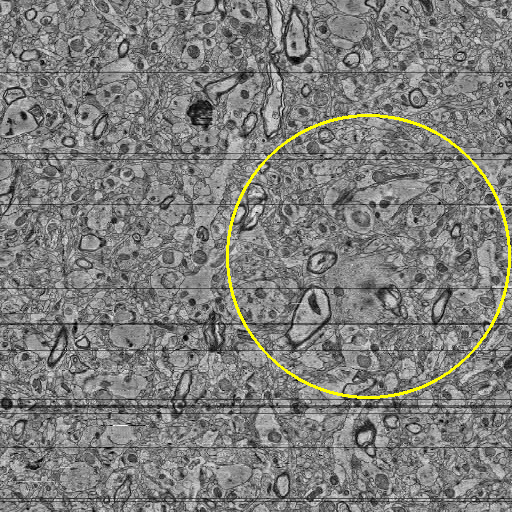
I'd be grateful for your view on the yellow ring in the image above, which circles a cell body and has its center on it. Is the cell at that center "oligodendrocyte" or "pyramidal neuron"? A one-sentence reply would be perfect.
The cell at the center of the yellow ring is an oligodendrocyte.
